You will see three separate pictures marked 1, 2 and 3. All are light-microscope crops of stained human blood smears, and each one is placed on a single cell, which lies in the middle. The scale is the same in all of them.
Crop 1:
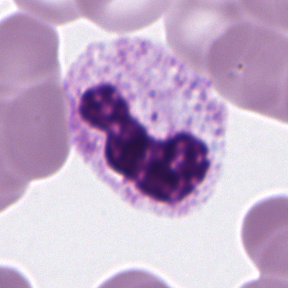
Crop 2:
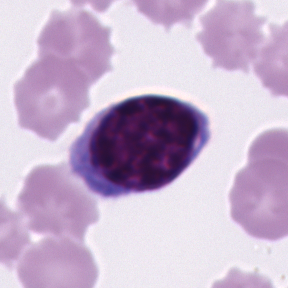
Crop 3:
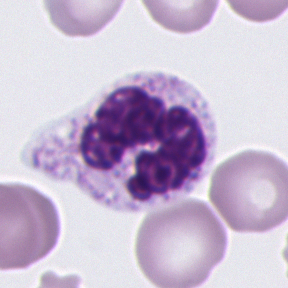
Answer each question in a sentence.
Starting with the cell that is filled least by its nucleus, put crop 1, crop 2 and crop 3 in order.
They run 1, 3, 2, the least filled first.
